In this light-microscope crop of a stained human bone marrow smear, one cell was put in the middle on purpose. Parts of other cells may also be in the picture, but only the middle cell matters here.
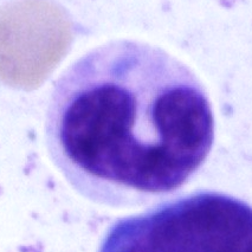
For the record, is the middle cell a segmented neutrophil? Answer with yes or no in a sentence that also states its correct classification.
No, the identification should read a band neutrophil, not a segmented neutrophil, for the central cell.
